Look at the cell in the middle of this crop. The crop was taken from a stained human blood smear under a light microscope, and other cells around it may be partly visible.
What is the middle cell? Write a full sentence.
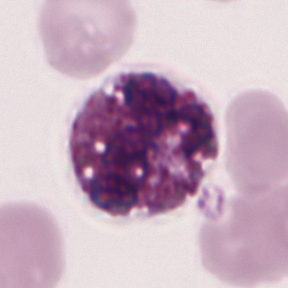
The cell at the middle of the crop is recognized as an eosinophil.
